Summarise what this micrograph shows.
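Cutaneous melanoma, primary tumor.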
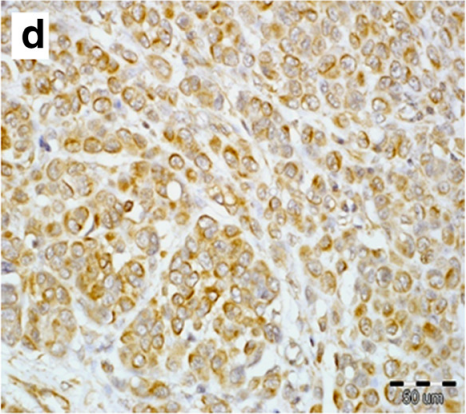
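The cells are large and polygonal, with round to oval vesicular nuclei and often a visible nucleolus. Thin pale stromal strands run between the nests.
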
